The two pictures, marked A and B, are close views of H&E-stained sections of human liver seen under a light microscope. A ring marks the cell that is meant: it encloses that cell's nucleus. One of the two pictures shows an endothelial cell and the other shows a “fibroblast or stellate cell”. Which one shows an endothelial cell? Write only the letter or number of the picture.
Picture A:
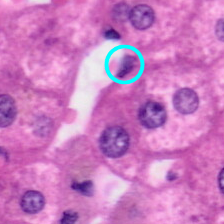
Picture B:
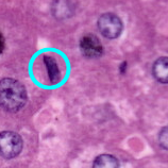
A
